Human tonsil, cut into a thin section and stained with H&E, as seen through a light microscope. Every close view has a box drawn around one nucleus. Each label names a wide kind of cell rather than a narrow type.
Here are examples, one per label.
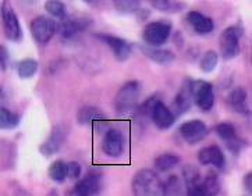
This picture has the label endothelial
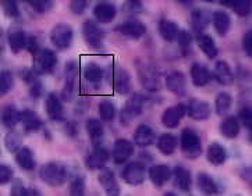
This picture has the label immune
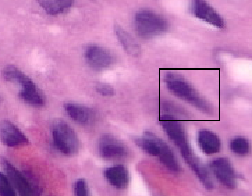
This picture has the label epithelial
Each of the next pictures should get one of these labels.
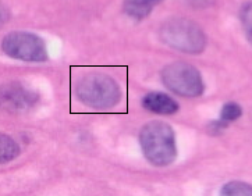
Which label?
epithelial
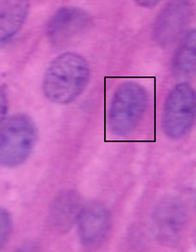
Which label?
epithelial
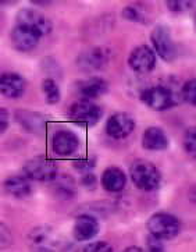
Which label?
immune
